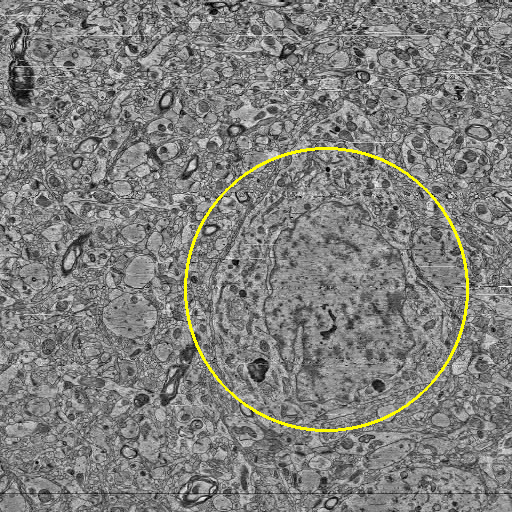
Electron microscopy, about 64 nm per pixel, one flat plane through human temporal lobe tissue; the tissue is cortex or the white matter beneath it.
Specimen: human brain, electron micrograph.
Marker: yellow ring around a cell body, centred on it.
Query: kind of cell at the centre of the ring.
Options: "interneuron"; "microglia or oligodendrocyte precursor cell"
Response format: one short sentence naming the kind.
This cell body belongs to an interneuron.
